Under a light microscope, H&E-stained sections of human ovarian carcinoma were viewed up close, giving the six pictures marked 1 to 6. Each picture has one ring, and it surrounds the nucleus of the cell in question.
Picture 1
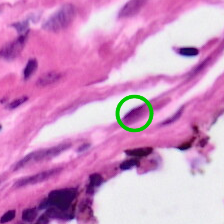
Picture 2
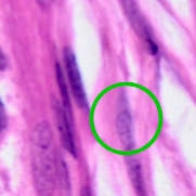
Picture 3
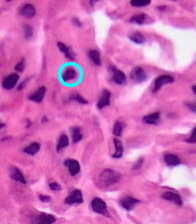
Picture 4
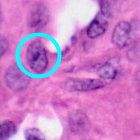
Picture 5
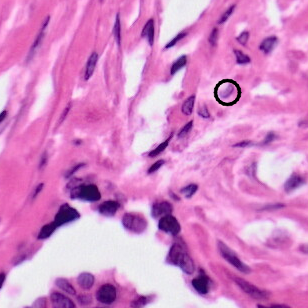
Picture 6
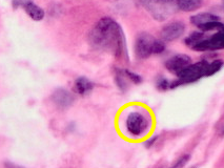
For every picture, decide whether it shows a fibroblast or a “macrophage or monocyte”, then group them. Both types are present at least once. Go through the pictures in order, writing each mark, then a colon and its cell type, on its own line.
1: fibroblast
2: fibroblast
3: fibroblast
4: macrophage or monocyte
5: fibroblast
6: macrophage or monocyte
